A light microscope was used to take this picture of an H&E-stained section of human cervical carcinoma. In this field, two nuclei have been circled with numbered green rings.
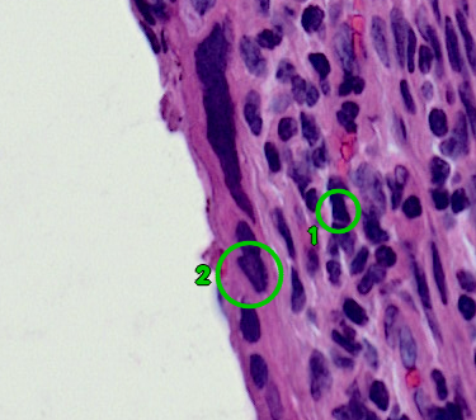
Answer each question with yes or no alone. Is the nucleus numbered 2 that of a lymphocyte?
no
